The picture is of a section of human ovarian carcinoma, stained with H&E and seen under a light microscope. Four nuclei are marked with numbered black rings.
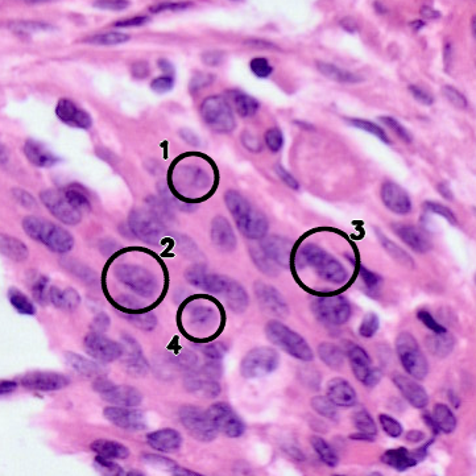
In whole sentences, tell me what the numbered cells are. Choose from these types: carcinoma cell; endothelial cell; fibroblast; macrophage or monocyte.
Cells 1, 2 and 3 are carcinoma cells. Cell 4 is a macrophage or monocyte.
